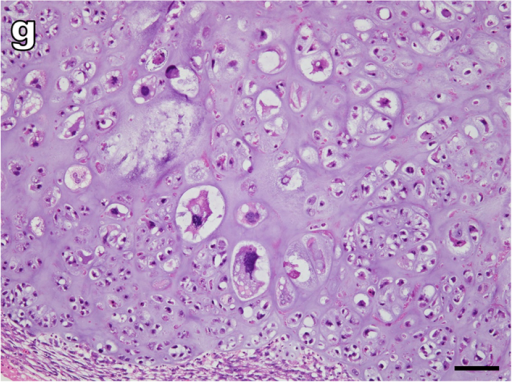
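Cartilage-forming tissue with a pale purple, glassy matrix in which chondrocyte-like cells sit in rounded lacunae, singly or in small clusters. Several lacunae are enlarged and contain cells with irregular, darkly stained, atypical nuclei; cellular spindle-cell tissue borders the cartilage at the lower edge.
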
